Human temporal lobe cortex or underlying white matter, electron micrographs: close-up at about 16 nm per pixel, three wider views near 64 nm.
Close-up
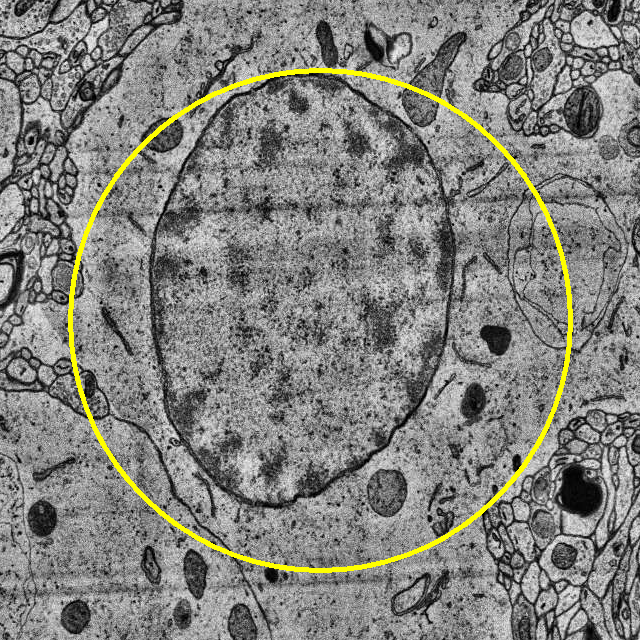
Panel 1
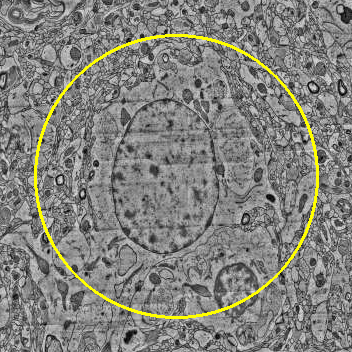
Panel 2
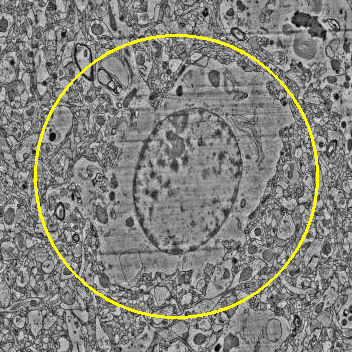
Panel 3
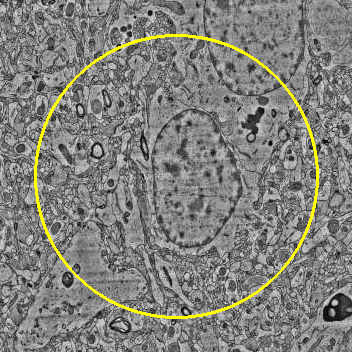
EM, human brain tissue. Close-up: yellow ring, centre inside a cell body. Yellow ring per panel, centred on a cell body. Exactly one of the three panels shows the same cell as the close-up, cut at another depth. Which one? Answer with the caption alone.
Panel 1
